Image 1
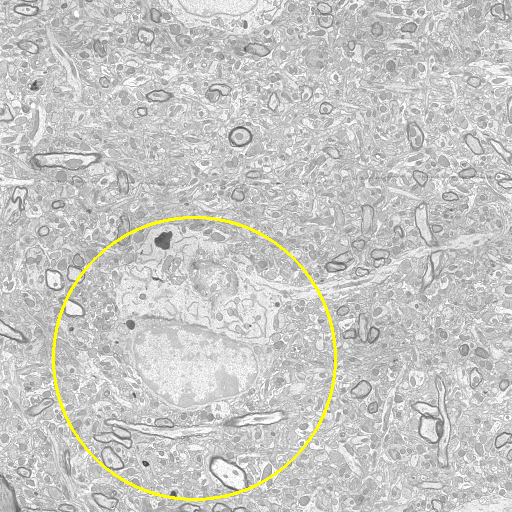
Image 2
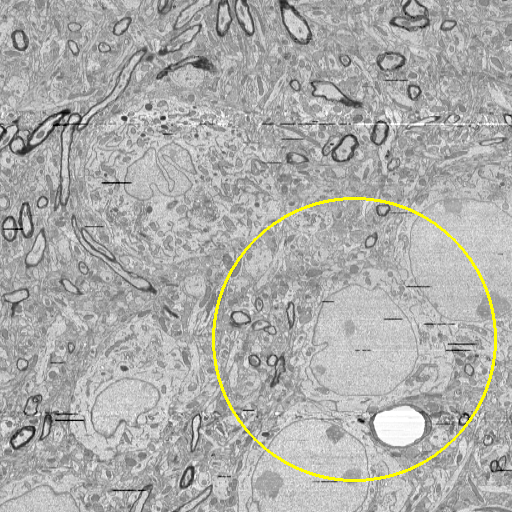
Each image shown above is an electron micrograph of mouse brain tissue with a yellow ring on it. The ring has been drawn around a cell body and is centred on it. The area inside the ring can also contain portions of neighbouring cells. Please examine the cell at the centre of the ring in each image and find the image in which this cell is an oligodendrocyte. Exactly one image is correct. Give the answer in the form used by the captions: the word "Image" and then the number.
Image 1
